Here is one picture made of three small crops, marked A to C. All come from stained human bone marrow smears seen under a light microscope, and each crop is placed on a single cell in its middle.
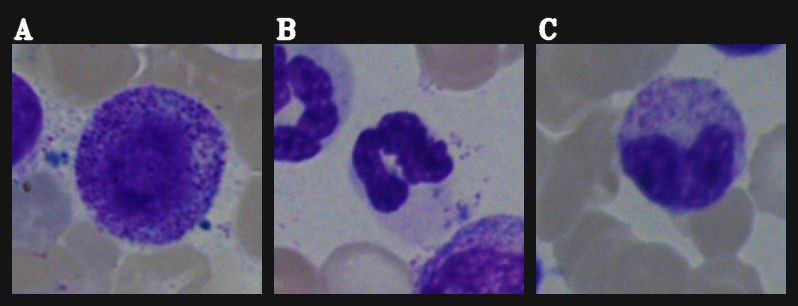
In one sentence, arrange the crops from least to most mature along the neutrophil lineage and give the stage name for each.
Least to most mature, the crops line up as crop A (a myelocyte), crop C (a metamyelocyte) and crop B (a segmented neutrophil).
